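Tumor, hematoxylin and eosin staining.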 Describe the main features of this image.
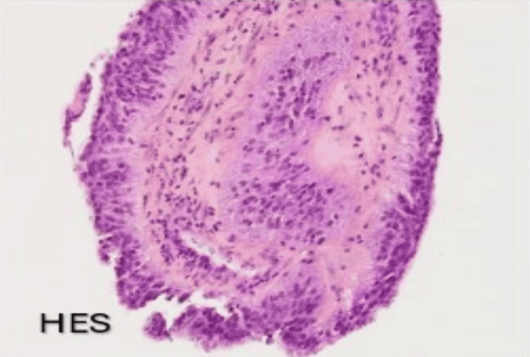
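This is tumour tissue with a papillary structure: pale pink, loosely fibrillar cores containing scattered elongated nuclei are covered by crowded cells with dark purple, oval nuclei. The covering cells lie in several layers, densely packed along the outer surface of the fragment.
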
